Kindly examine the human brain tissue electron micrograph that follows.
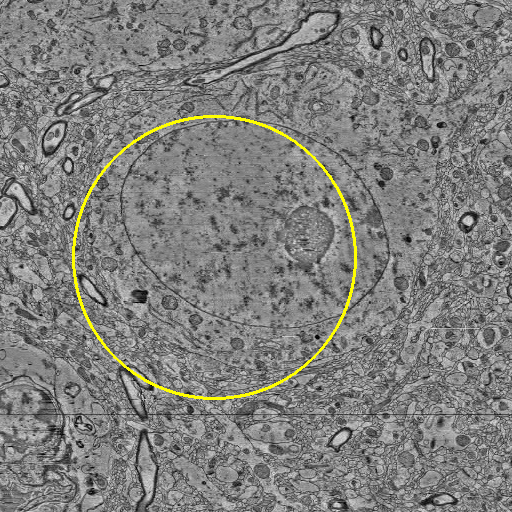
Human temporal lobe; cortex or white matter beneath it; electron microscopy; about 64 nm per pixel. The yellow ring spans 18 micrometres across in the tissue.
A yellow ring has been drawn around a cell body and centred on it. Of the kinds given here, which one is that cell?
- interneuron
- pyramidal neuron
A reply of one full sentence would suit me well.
The micrograph's ringed cell, the one at the ring's centre, is a pyramidal neuron.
